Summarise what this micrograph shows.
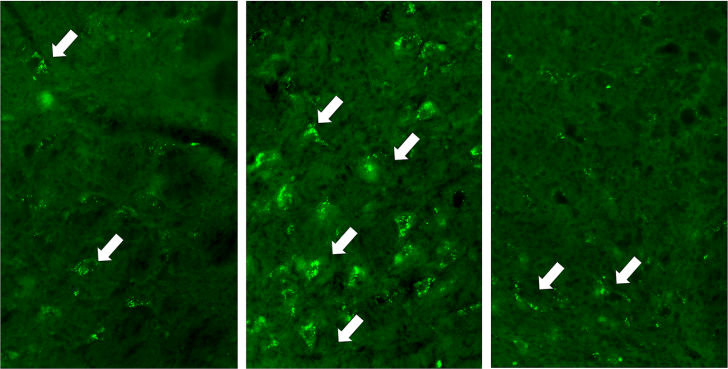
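The labelled somata are rounded to somewhat angular and stand out against a dim, faintly textured background of neuropil. White arrows pick out individual labelled cell bodies. The middle field holds visibly more labelled cell bodies than the two outer fields.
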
